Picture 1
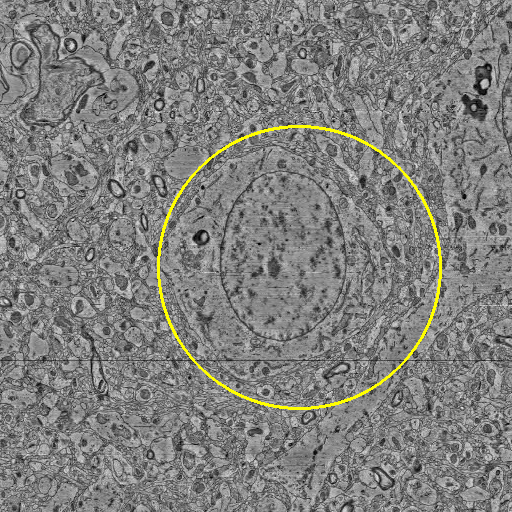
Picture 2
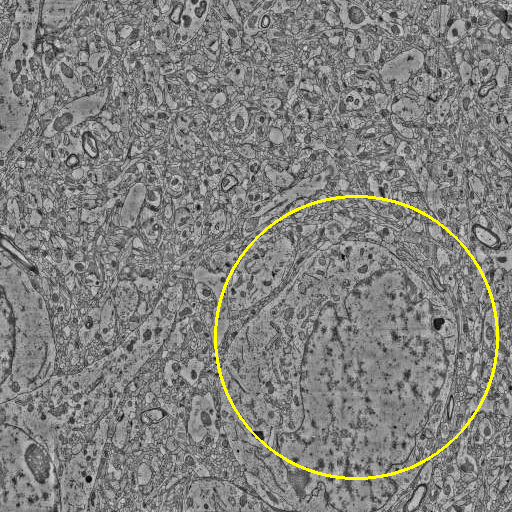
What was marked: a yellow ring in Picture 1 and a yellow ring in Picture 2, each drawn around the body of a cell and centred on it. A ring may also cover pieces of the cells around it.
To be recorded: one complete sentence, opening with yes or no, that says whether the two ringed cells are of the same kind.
No, the two ringed cells are of two kinds.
